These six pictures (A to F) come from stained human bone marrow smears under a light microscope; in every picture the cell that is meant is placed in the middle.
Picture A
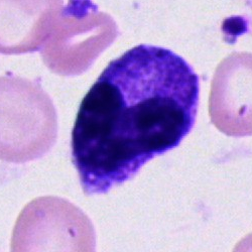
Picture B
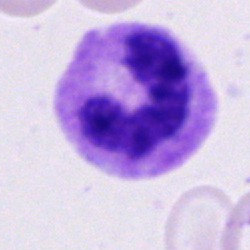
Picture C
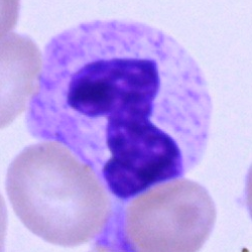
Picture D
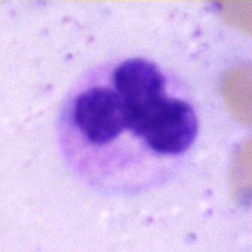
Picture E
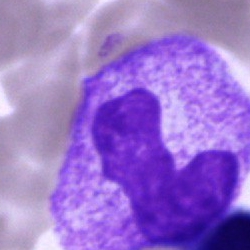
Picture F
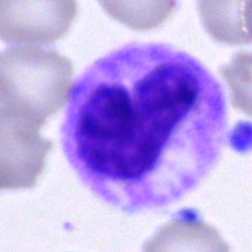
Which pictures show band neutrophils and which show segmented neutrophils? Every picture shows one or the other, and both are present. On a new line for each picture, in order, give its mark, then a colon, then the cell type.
A: band neutrophil
B: segmented neutrophil
C: segmented neutrophil
D: segmented neutrophil
E: band neutrophil
F: band neutrophil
